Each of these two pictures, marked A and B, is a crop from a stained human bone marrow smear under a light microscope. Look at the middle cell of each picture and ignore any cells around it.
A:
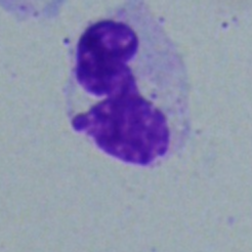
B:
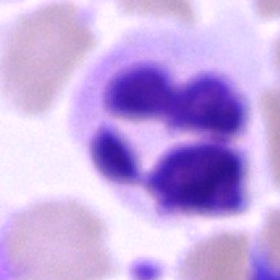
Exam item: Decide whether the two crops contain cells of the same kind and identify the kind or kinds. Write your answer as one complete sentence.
Yes, at the centre of both crops are segmented neutrophils.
